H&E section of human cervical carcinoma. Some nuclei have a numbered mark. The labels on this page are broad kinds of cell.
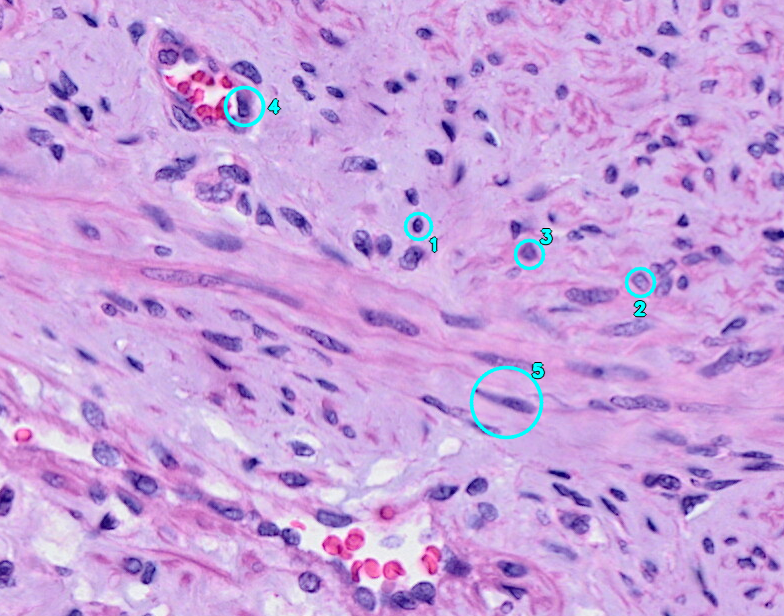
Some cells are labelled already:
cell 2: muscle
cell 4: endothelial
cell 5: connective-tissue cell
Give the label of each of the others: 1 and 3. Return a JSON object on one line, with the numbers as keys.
{"1": "connective-tissue cell", "3": "muscle"}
